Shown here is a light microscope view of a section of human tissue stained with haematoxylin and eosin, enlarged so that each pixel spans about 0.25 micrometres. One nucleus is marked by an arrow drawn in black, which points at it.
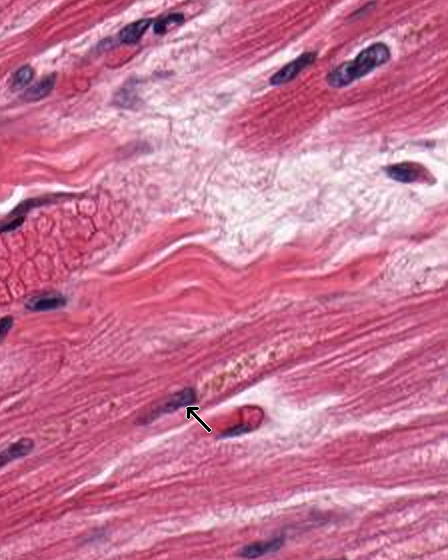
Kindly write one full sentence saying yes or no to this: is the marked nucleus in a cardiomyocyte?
Yes, in this field of view the marked nucleus belongs to a cardiomyocyte.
